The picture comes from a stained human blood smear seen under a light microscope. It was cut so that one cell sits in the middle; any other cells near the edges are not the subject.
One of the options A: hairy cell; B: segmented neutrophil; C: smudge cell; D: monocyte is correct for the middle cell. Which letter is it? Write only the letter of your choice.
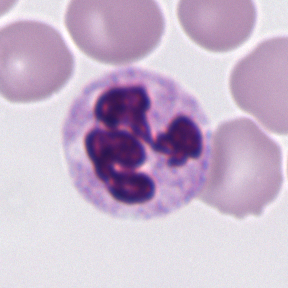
B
